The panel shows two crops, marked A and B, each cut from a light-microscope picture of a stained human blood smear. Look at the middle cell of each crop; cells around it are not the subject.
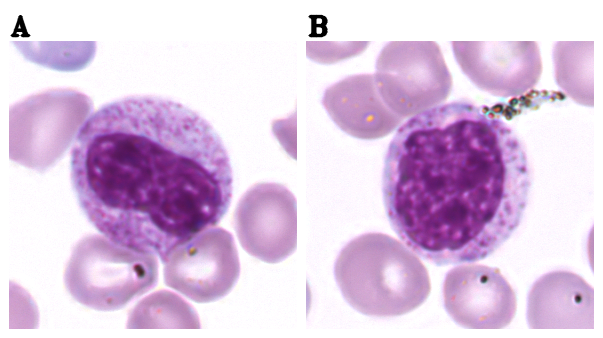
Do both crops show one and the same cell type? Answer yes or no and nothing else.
no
